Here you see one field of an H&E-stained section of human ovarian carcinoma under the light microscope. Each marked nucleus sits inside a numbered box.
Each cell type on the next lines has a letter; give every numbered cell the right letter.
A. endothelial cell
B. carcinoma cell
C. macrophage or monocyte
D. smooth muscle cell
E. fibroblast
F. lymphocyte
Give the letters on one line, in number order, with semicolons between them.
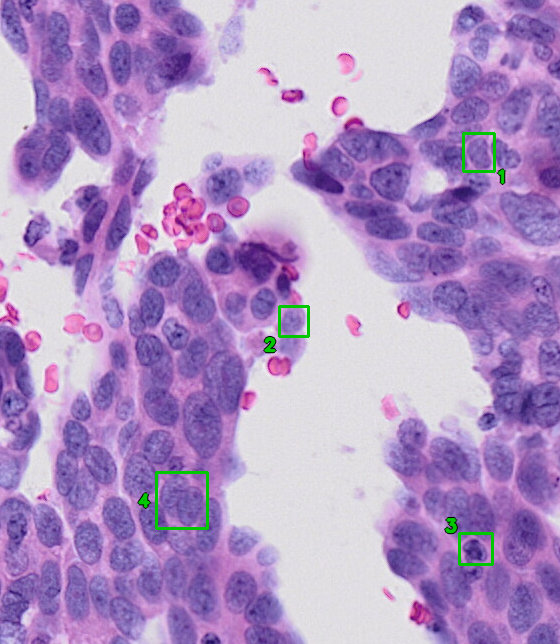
B; B; F; B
